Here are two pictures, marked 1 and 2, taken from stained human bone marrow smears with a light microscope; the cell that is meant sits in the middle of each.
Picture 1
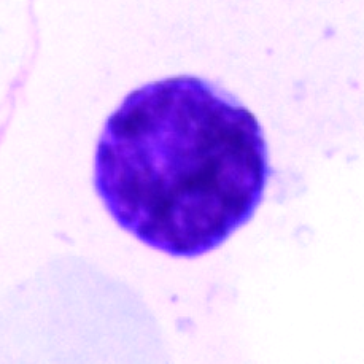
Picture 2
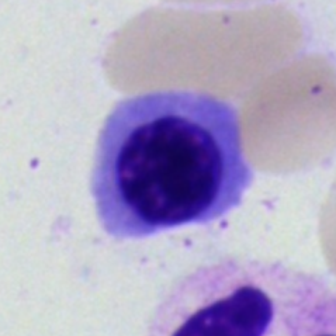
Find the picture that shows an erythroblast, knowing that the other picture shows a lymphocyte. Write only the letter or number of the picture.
2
